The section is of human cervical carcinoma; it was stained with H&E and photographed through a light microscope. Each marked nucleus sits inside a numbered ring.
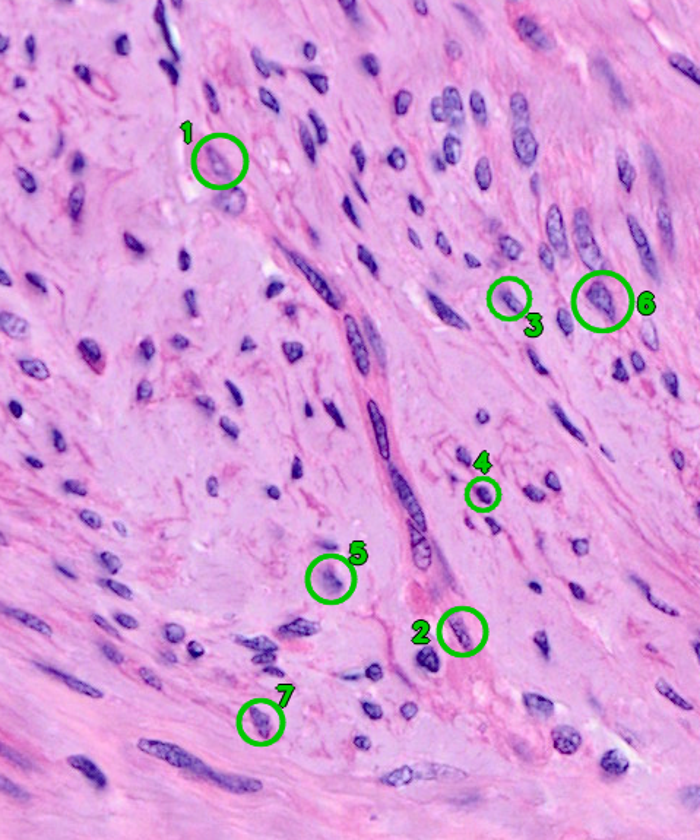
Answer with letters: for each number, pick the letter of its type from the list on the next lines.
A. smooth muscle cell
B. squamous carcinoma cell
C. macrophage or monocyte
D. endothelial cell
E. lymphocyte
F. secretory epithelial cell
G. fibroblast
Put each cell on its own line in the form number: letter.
1: D
2: D
3: A
4: A
5: G
6: A
7: A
